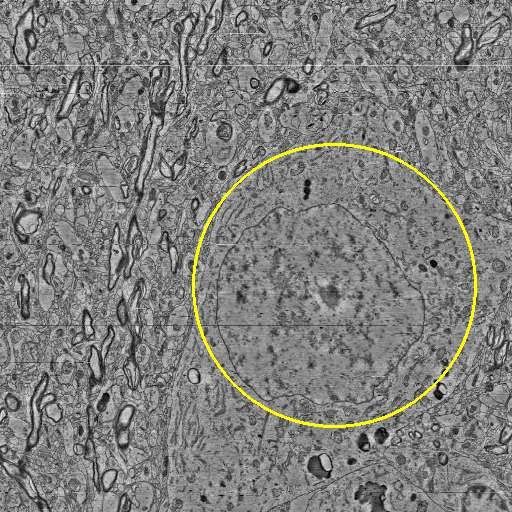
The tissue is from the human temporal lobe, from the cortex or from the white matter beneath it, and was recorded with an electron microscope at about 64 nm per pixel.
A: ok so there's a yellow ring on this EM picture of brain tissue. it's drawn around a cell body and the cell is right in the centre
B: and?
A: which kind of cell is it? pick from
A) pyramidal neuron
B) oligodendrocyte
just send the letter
A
